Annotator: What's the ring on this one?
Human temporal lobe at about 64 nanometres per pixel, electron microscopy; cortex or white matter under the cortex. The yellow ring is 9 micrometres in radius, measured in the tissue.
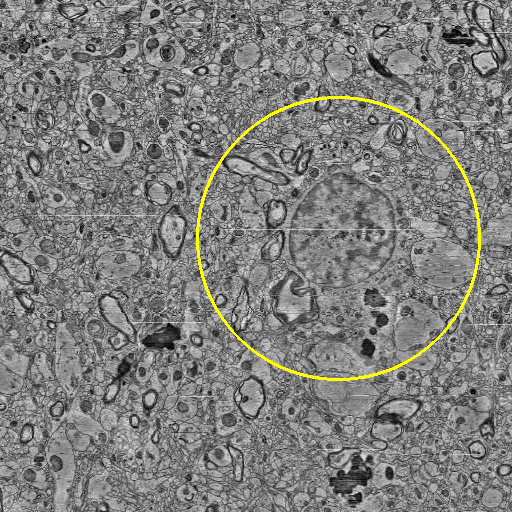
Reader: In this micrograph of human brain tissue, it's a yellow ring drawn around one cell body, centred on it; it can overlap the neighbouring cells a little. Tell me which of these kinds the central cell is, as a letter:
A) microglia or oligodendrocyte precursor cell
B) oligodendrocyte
B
